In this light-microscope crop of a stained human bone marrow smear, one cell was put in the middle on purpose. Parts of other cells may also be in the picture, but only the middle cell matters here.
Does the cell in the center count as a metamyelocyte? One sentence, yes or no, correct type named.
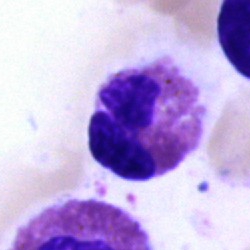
No, the central cell is an eosinophil; it should not be labelled a metamyelocyte.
